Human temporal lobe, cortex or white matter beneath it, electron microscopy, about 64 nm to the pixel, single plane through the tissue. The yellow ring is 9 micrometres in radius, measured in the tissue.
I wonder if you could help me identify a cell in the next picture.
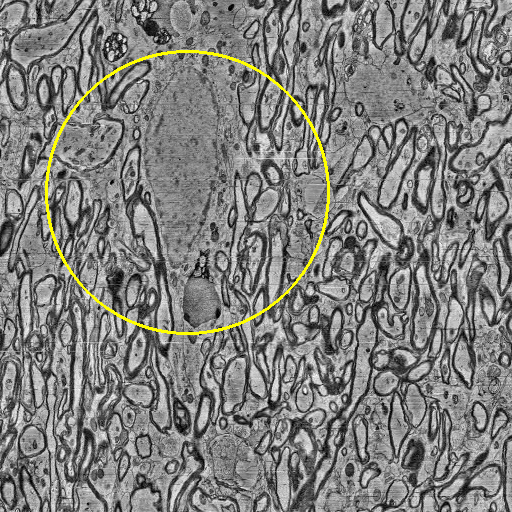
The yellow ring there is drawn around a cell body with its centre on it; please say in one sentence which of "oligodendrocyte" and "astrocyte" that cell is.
The yellow ring is centred on an astrocyte.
